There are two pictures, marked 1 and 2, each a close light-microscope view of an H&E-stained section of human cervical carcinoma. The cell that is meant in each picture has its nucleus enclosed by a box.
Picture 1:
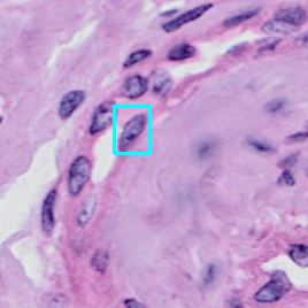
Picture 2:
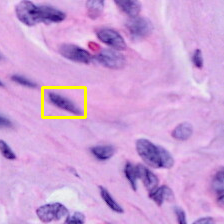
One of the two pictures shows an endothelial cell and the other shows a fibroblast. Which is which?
1: endothelial cell
2: fibroblast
